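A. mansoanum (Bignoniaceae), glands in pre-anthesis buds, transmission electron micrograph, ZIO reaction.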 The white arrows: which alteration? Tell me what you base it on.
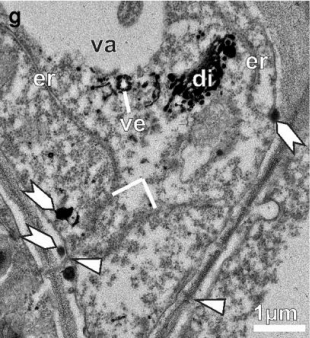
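Small black electron-dense deposits lie at the arrow tips. The deposits sit at the edge of the cytoplasm against the cell wall.
Conclusion: dense materials close to the plasma membrane and in the periplasmic space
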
